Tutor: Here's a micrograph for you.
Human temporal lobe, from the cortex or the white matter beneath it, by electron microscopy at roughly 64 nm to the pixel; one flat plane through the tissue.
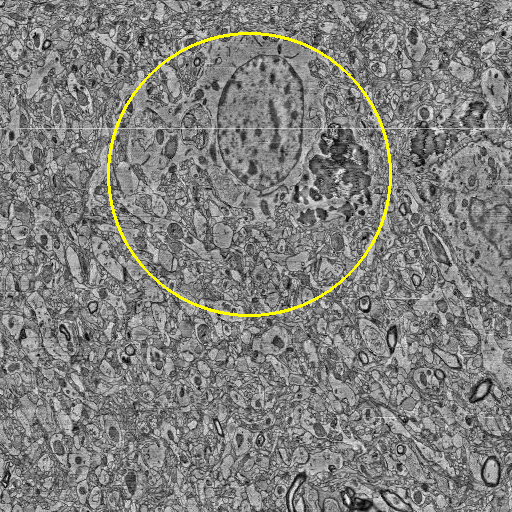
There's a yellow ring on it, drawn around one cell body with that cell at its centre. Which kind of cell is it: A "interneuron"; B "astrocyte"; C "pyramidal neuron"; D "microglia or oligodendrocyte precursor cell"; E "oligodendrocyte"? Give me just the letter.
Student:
B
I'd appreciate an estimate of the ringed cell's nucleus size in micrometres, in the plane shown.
Clearly longer than it is wide in this plane, the nucleus measures roughly 9 by 6 micrometres.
